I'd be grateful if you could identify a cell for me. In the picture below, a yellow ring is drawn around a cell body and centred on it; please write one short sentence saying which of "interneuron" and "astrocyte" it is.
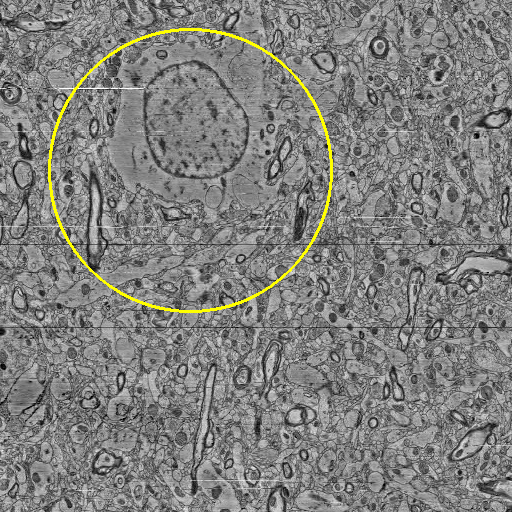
The cell under the ring's centre is an astrocyte.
